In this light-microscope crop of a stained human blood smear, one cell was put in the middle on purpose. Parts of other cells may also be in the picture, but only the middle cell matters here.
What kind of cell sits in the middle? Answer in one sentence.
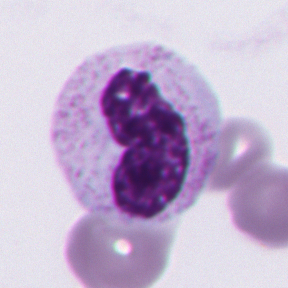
Standing at the centre of this crop is a band neutrophil.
